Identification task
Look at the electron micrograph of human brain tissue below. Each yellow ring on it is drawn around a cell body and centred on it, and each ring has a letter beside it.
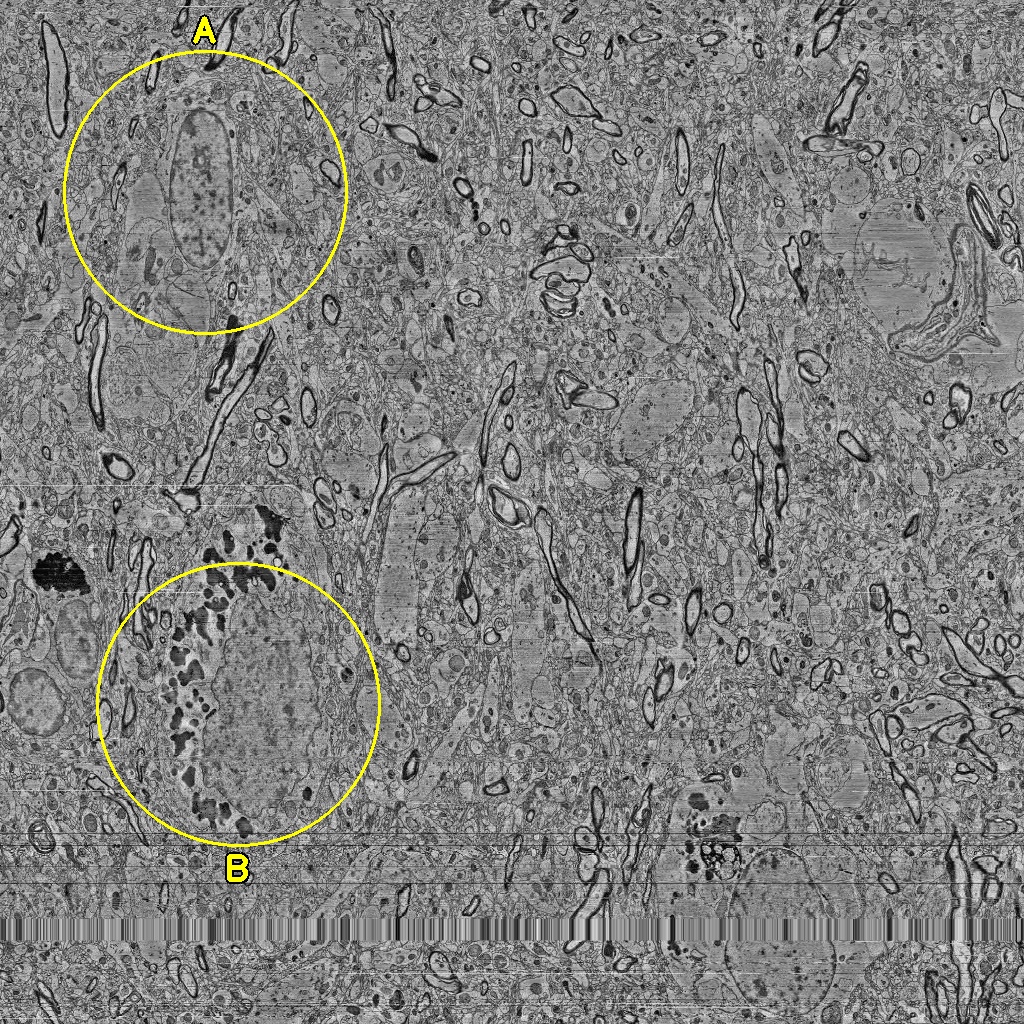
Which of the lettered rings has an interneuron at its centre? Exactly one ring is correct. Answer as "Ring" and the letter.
Ring B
